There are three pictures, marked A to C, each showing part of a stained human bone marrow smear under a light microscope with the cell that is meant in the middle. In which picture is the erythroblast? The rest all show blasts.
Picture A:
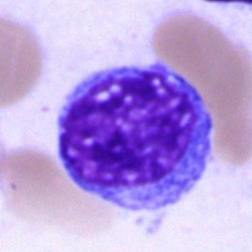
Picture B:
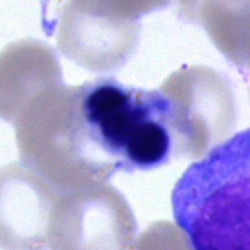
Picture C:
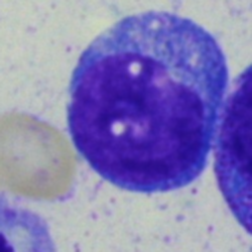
B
